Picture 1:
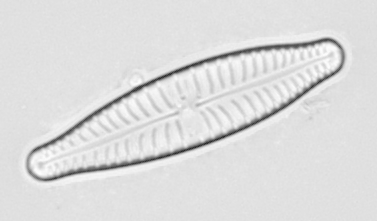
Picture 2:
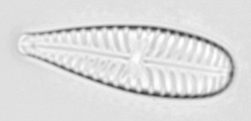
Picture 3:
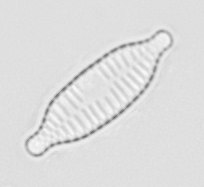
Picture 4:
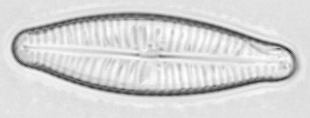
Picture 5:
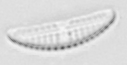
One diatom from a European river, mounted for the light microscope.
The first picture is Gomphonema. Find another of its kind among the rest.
Picture 4.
